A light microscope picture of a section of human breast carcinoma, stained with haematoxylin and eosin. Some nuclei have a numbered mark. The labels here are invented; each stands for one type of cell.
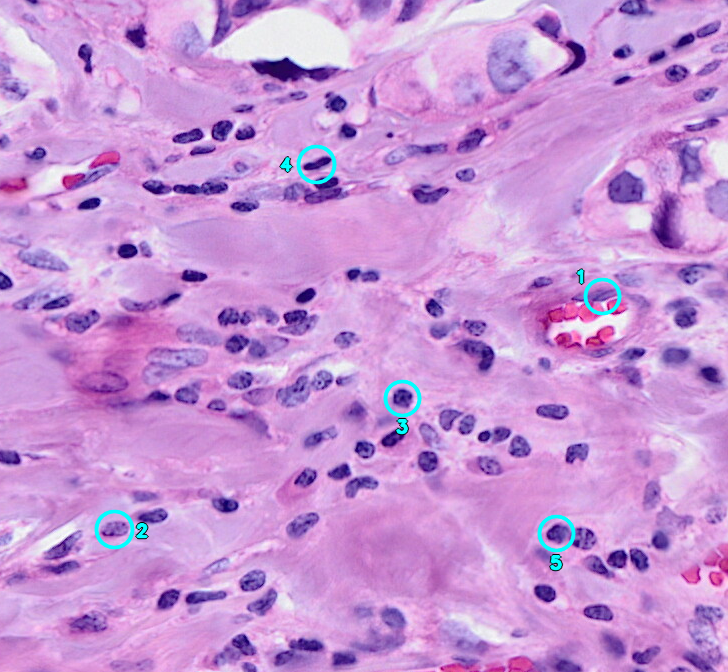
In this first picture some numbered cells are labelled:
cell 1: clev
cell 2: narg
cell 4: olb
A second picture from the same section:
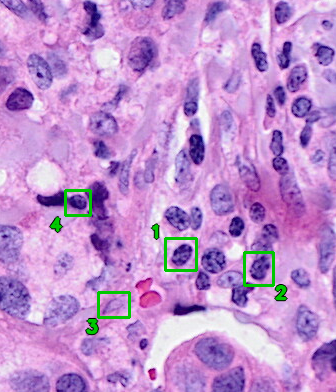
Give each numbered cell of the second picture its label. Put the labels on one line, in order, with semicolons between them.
olb; olb; clev; olb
